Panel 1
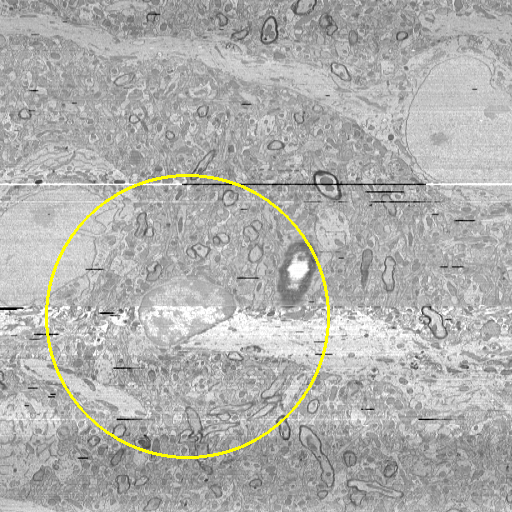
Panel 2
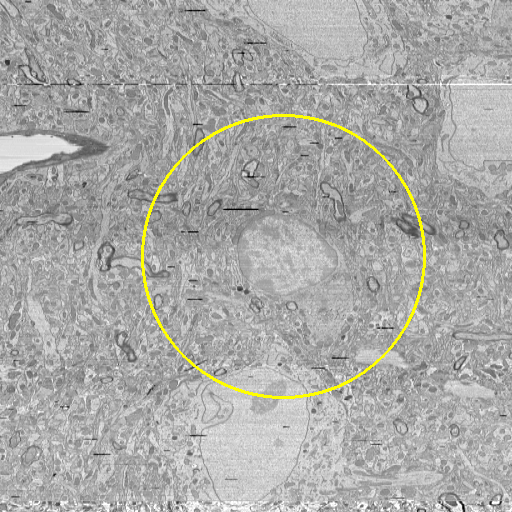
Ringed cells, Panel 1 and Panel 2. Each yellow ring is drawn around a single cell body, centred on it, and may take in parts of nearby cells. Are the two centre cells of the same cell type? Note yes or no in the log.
yes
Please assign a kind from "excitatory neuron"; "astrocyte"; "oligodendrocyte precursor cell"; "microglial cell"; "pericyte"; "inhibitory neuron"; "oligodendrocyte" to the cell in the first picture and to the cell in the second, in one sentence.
In each picture the ringed cell is an oligodendrocyte.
